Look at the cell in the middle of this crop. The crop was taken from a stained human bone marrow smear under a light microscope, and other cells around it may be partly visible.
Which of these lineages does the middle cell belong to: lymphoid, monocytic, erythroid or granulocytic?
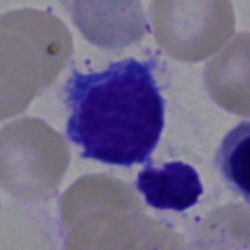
lymphoid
